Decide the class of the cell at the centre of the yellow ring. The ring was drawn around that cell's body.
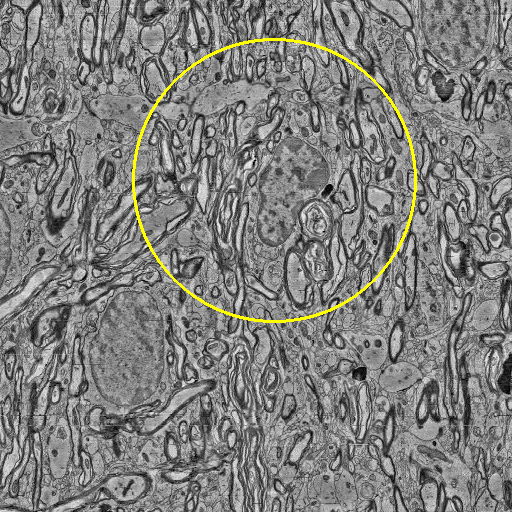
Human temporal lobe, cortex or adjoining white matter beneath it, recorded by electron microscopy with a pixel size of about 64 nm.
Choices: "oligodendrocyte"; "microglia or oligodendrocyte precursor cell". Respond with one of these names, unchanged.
microglia or oligodendrocyte precursor cell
